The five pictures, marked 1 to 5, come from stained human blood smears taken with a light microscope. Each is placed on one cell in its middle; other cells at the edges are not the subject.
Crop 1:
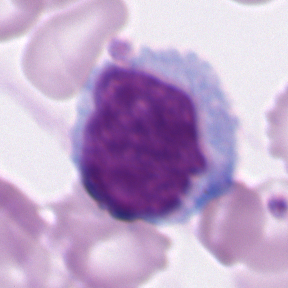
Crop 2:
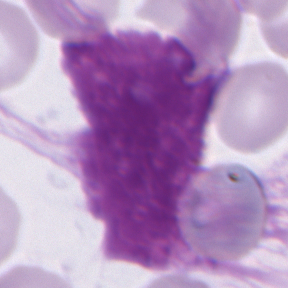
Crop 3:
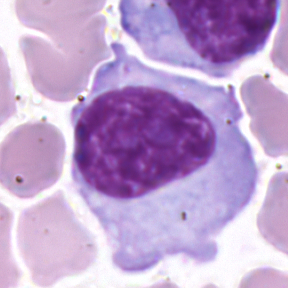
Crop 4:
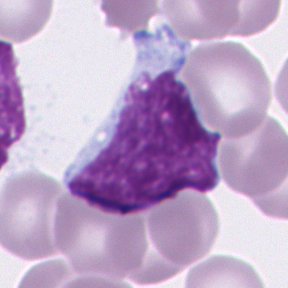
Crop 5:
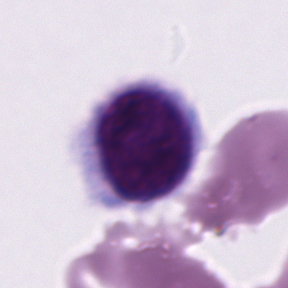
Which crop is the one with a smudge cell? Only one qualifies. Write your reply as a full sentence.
Crop 2 is where a smudge cell is shown.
